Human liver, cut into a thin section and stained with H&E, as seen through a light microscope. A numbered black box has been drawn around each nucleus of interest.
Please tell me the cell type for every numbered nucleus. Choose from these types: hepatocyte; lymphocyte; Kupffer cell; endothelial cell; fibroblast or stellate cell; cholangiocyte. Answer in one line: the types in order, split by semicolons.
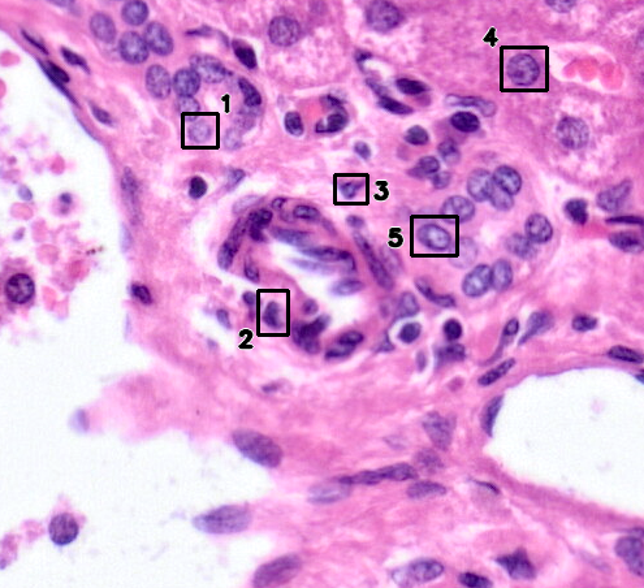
cholangiocyte; fibroblast or stellate cell; fibroblast or stellate cell; hepatocyte; cholangiocyte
